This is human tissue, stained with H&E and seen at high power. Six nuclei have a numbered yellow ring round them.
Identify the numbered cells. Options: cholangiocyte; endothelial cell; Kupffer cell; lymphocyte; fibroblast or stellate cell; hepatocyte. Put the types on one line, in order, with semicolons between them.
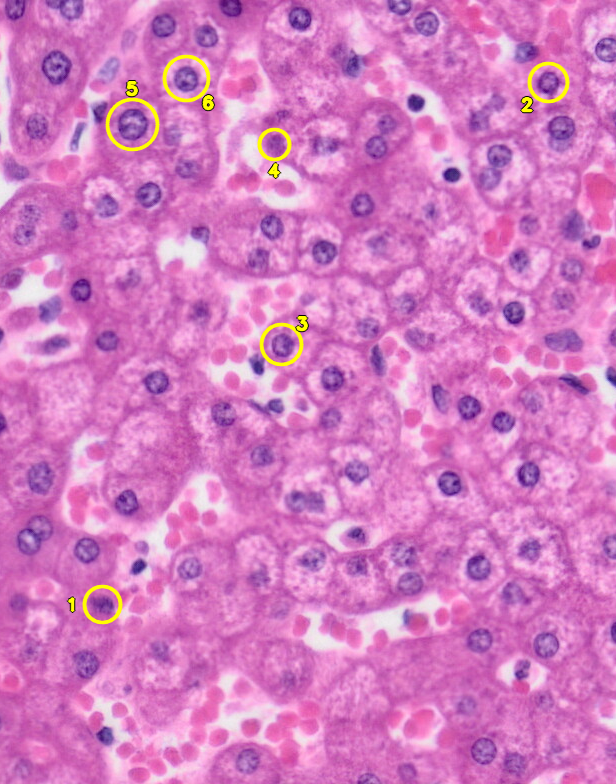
fibroblast or stellate cell; hepatocyte; hepatocyte; Kupffer cell; hepatocyte; hepatocyte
